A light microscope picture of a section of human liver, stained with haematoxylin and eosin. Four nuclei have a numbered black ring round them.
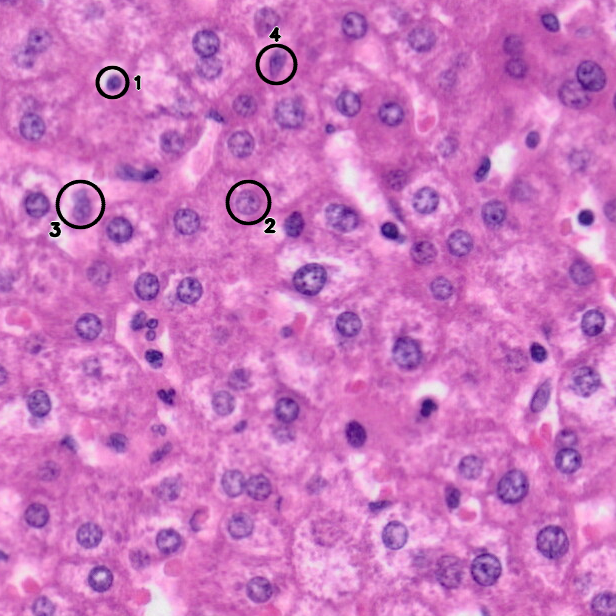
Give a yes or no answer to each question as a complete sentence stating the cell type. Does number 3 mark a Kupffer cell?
Yes, the cell at number 3 is a Kupffer cell.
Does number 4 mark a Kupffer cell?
Yes, the cell with the mark numbered 4 is a Kupffer cell.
